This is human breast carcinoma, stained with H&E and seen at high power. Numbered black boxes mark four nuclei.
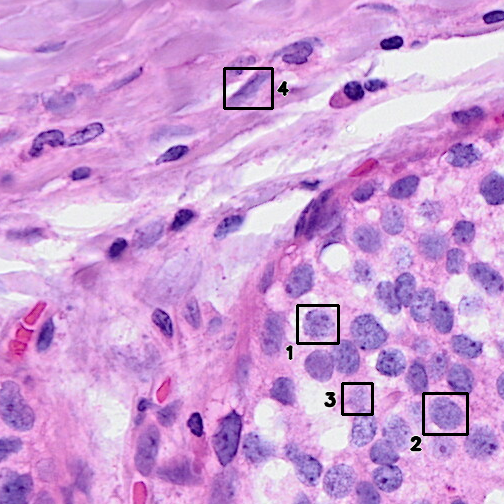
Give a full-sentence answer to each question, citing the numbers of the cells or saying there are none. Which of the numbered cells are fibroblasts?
Exactly one numbered cell is a fibroblast, and that cell is number 4.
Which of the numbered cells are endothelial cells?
Numbered cell by numbered cell, the tally of endothelial cells stays at zero.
